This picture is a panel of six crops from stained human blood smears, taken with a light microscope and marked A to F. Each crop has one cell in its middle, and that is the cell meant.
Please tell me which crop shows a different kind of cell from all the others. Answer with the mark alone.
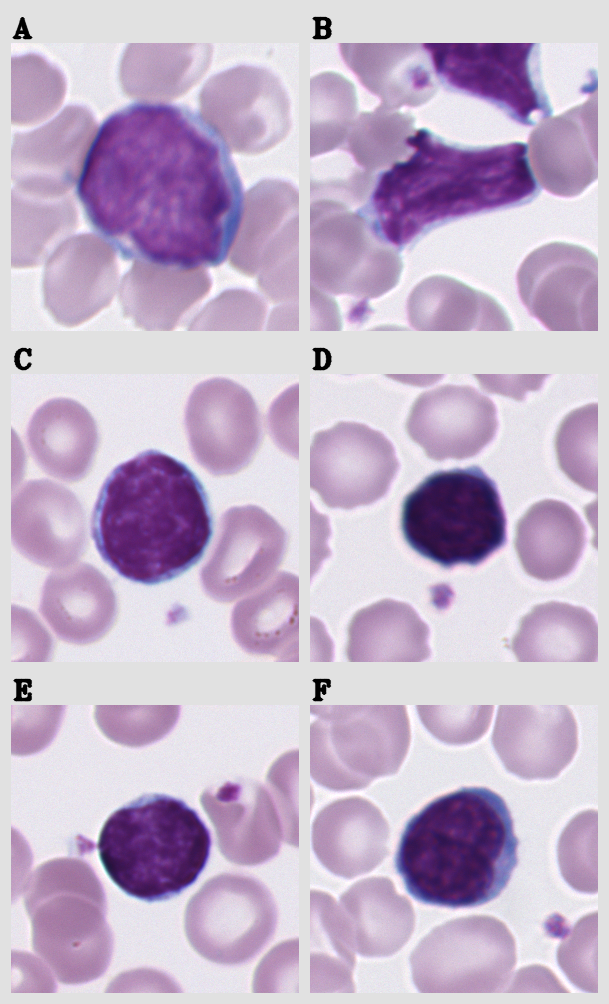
A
